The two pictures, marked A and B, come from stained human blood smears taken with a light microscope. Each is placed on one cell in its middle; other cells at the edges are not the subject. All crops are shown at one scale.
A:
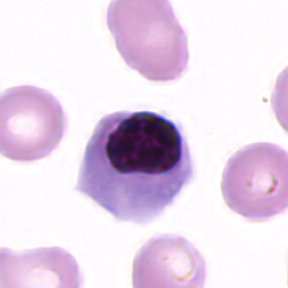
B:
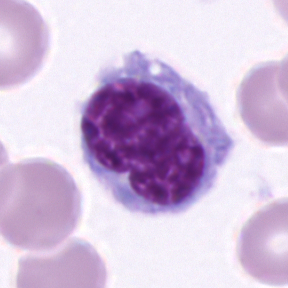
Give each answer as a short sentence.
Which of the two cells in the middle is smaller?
Crop A holds the smaller cell, since the cell in crop B covers about 2 times as much area.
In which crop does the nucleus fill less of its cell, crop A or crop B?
In crop A the nucleus takes up the smaller part of its cell.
